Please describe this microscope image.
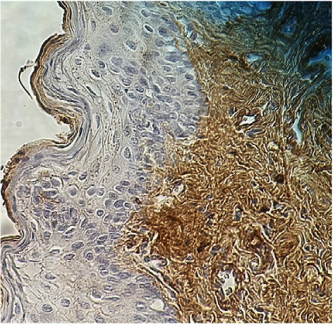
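Skin with a layered epithelium on the left and a fibrous connective layer on the right. The epithelium is many cells thick, made of closely packed cells with small oval blue-purple nuclei and pale cytoplasm, and its free surface has a thin brown-rimmed, wavy outer edge. Against it lies a broad band of densely interwoven fibers stained strongly brown, with a few small spaces among them and some blue-green tint at the upper right.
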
